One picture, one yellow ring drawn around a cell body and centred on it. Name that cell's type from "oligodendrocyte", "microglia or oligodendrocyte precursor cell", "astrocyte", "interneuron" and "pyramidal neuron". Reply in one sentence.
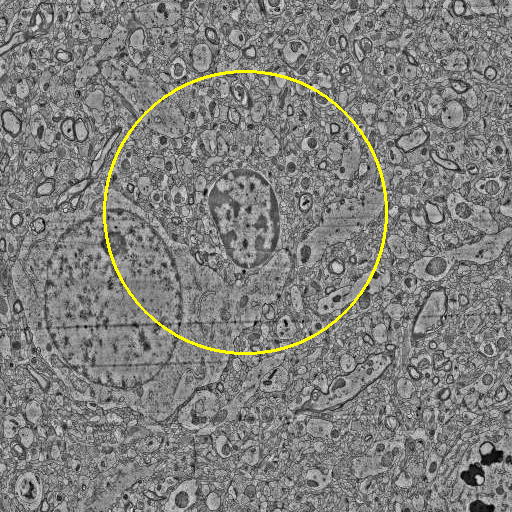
Centred in the ring is a microglial cell or oligodendrocyte precursor cell.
